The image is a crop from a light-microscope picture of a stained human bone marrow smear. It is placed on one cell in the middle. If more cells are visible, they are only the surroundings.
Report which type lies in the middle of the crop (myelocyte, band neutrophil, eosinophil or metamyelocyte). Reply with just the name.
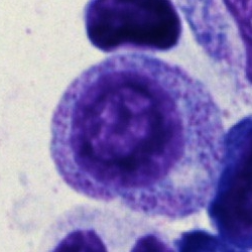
myelocyte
